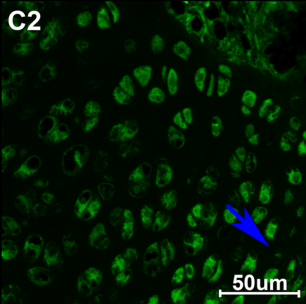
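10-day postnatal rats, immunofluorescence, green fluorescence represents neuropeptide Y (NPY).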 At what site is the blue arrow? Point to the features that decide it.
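Matrix around the chondrocytes. The arrow points toward the area between clustered rounded cells. The intercellular area shows faint green fluorescence.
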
